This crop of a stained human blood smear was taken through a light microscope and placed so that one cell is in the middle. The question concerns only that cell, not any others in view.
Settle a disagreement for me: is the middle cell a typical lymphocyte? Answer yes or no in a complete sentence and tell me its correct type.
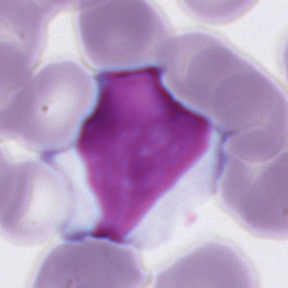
Yes, the cell that the crop is centred on is a typical lymphocyte.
